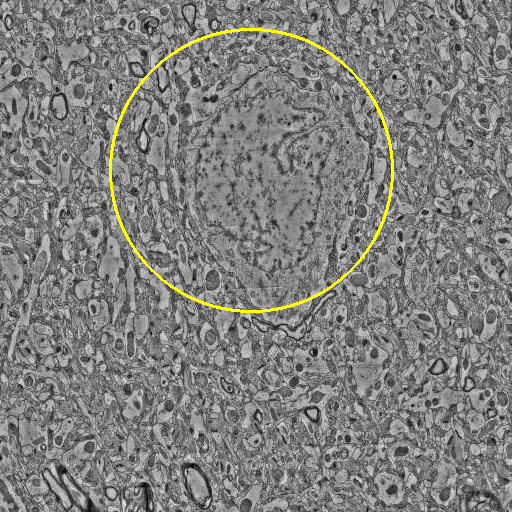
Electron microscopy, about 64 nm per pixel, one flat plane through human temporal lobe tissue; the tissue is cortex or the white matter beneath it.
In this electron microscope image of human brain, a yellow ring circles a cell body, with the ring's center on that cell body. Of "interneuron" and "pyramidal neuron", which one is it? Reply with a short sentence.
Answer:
It is an interneuron at the center of the ring.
